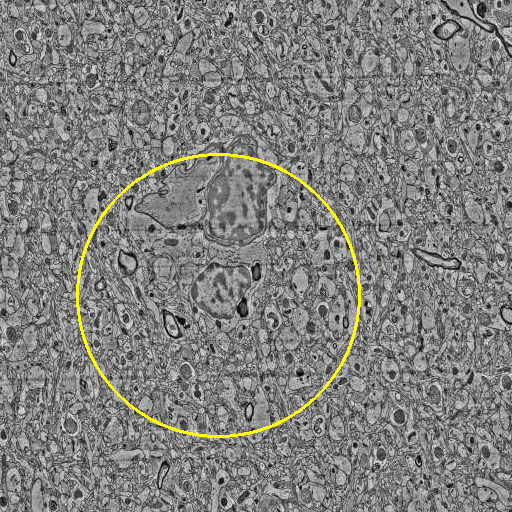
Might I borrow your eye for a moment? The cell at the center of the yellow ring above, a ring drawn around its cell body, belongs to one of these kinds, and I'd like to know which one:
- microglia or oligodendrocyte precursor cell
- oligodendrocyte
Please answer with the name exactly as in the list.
microglia or oligodendrocyte precursor cell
